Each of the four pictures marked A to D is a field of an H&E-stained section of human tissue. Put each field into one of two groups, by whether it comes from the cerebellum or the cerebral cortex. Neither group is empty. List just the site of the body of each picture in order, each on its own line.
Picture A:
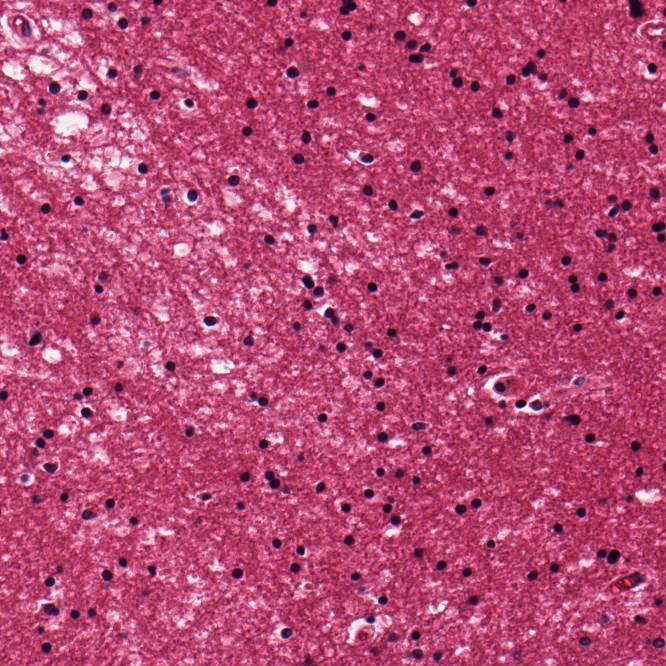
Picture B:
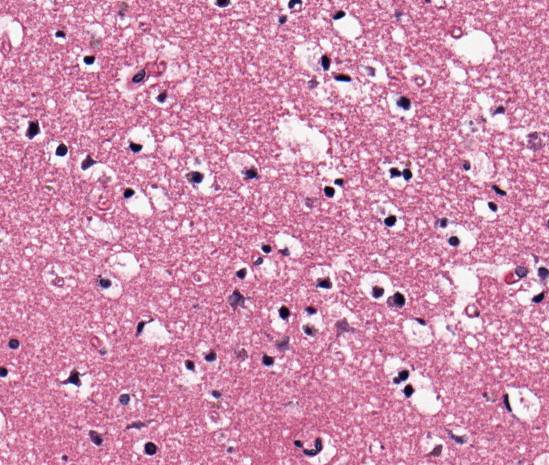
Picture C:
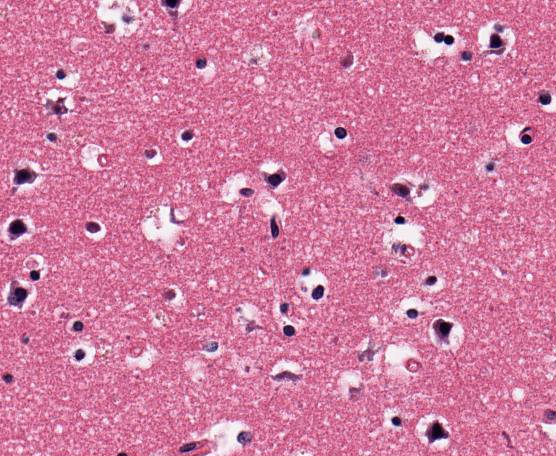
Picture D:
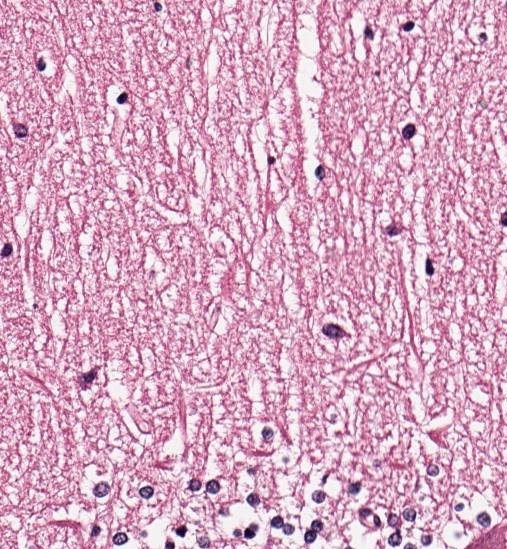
cerebral cortex
cerebral cortex
cerebral cortex
cerebellum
